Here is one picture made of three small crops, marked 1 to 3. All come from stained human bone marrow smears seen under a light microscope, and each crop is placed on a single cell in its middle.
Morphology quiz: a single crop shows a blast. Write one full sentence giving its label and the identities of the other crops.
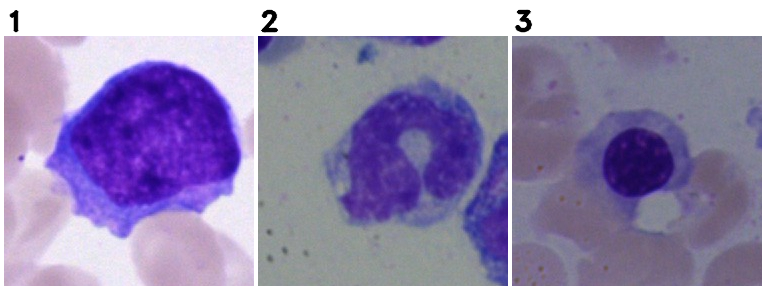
For crop 1 the cell is a blast, while crop 2 is a monocyte and crop 3 is an erythroblast.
